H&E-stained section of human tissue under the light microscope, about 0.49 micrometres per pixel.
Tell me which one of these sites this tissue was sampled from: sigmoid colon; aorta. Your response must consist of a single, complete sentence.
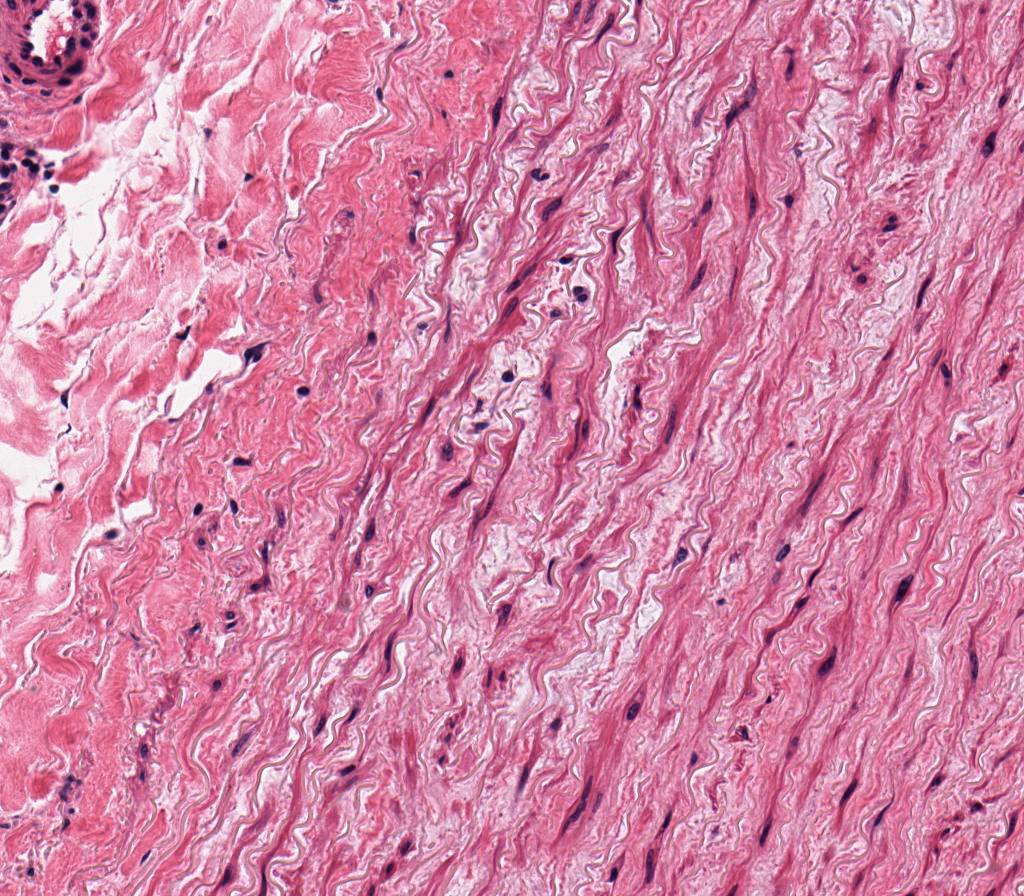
Tissue sampled from the aorta forms this section.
